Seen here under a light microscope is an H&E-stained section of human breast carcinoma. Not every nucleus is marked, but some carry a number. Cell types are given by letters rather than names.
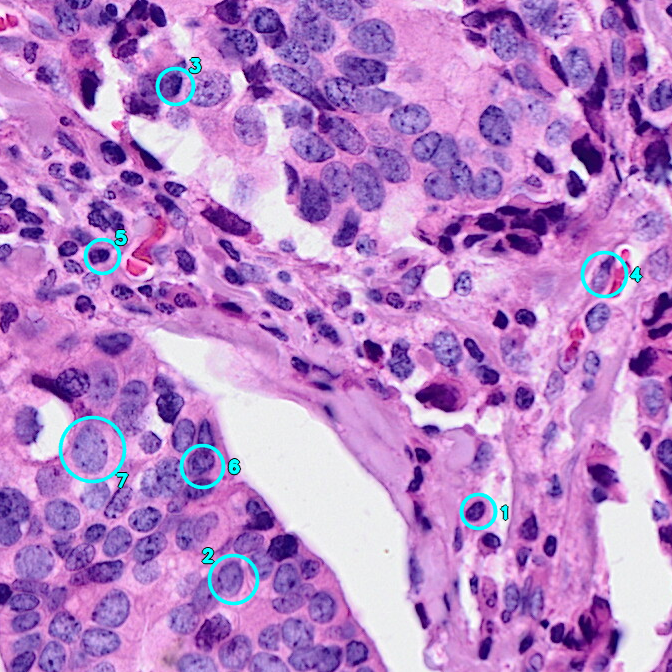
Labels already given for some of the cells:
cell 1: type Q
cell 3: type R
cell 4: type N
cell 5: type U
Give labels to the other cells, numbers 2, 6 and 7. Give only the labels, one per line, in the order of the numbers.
type R
type R
type R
